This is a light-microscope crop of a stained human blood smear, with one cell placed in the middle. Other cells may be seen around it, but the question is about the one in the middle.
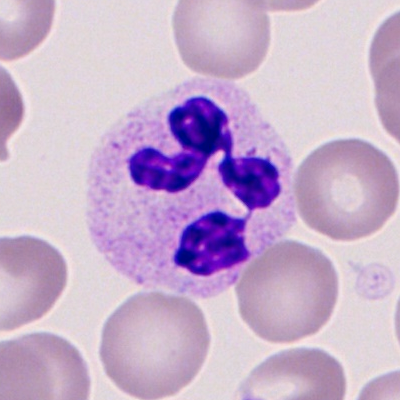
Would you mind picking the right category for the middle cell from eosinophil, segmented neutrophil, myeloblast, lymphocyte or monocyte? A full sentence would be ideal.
The central cell shown in this smear crop is a segmented neutrophil.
